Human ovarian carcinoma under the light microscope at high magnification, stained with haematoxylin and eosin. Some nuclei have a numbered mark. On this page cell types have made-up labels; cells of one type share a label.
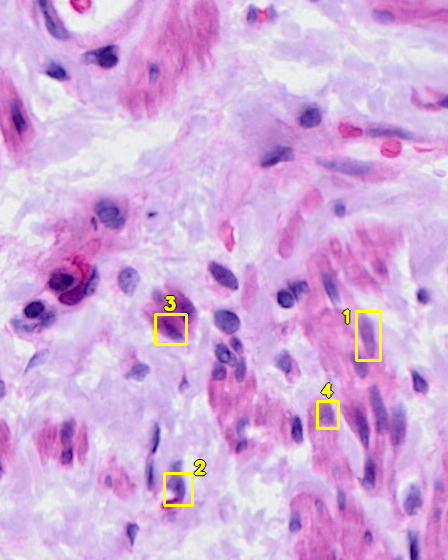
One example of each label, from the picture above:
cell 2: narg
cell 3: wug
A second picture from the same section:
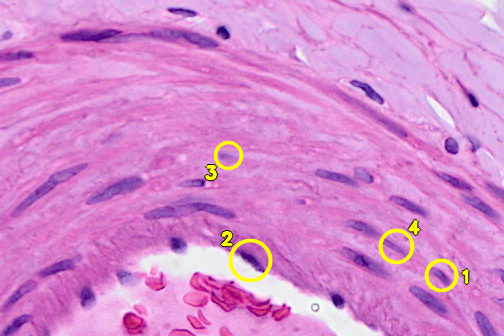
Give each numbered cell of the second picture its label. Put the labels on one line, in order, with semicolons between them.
wug; narg; wug; wug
